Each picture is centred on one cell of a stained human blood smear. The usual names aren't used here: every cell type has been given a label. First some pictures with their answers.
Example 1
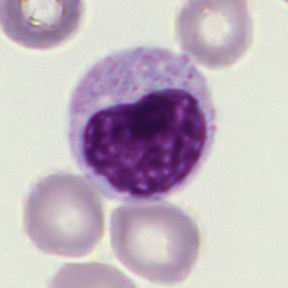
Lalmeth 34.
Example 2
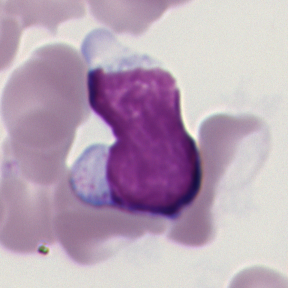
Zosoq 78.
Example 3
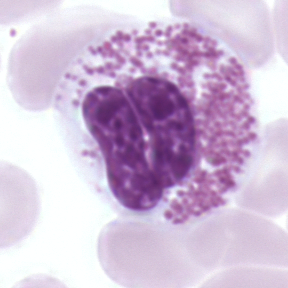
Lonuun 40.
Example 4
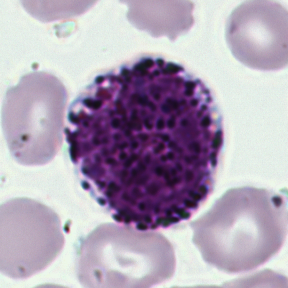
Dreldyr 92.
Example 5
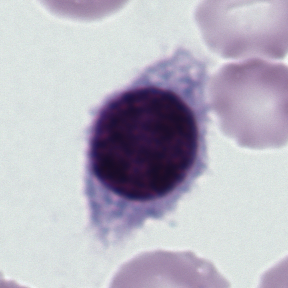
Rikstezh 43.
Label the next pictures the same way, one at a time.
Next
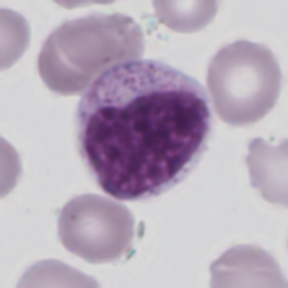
Lalmeth 34.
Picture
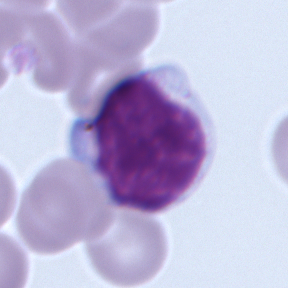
Zosoq 78.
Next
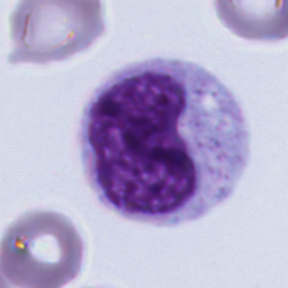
Lalmeth 34.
